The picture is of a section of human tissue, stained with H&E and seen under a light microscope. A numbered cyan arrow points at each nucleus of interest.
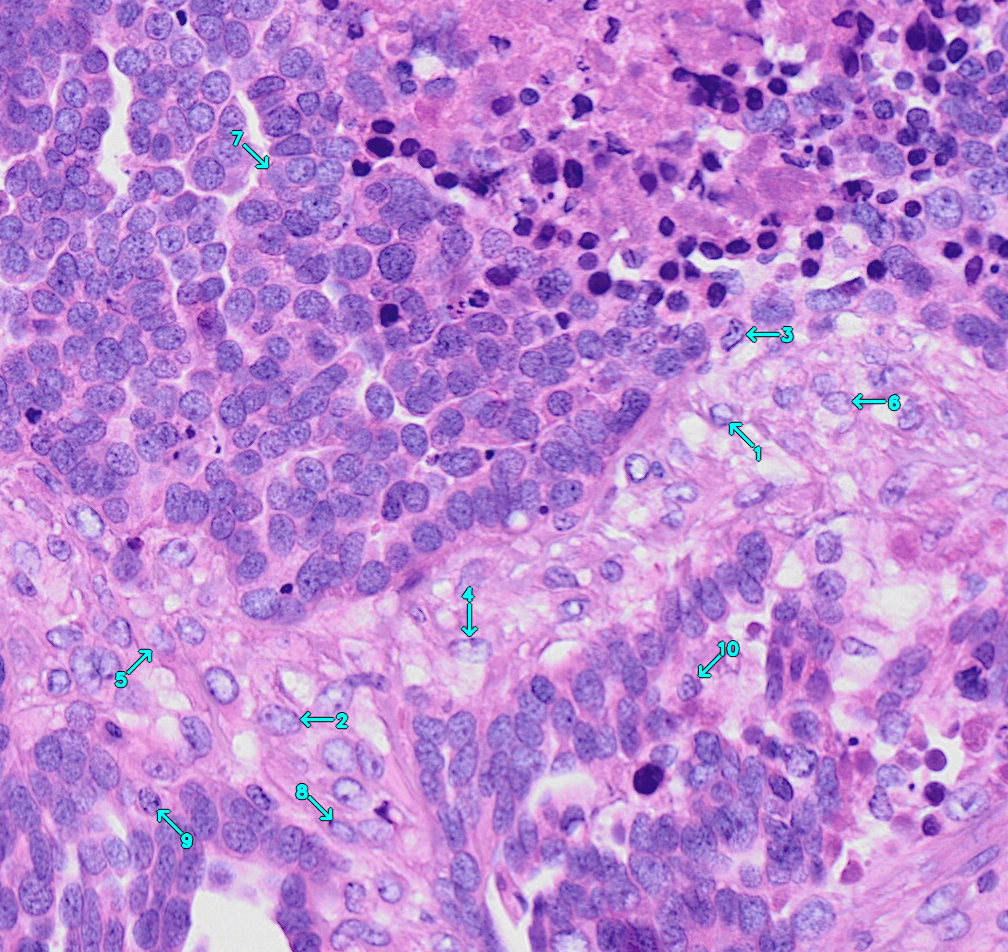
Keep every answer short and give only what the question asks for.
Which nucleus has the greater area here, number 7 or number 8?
8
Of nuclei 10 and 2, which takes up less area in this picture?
10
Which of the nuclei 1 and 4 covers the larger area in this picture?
4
